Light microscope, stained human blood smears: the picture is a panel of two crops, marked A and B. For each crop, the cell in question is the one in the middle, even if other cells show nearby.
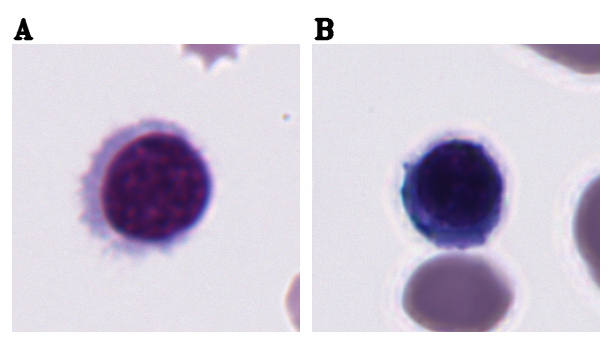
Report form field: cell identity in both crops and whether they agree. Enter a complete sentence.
No, whereas crop A shows a hairy cell, crop B shows a plasma cell.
